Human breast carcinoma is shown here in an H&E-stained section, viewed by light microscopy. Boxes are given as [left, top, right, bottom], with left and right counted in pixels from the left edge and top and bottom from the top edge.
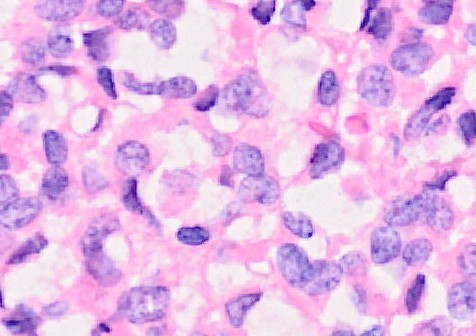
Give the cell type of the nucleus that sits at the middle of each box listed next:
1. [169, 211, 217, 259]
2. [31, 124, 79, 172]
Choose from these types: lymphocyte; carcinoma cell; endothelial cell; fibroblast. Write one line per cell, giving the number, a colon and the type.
1: lymphocyte
2: carcinoma cell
